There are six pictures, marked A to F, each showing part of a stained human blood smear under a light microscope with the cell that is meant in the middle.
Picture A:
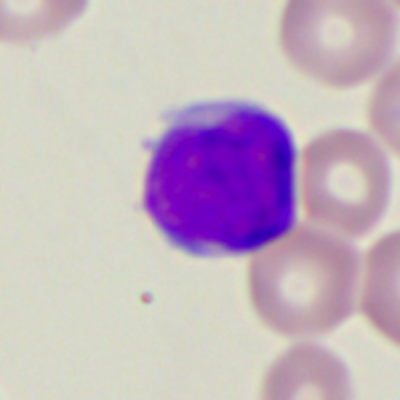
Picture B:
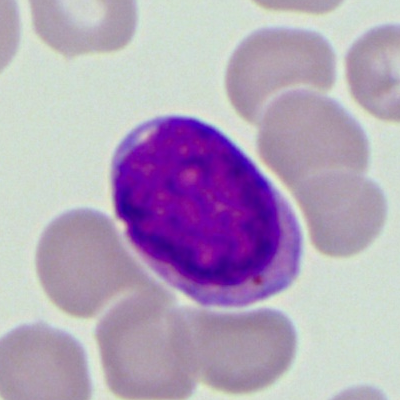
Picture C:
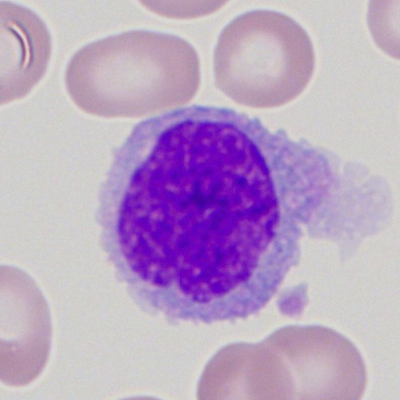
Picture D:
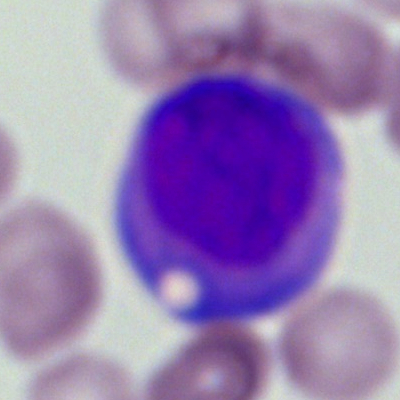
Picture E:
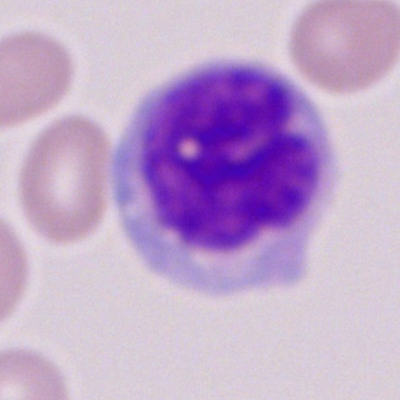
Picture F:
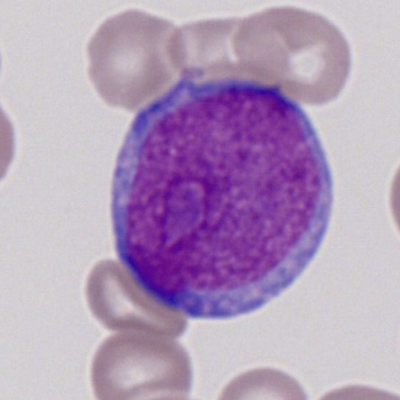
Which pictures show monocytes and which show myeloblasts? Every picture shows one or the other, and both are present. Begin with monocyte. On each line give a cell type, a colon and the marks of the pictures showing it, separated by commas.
monocyte: C, E
myeloblast: A, B, D, F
